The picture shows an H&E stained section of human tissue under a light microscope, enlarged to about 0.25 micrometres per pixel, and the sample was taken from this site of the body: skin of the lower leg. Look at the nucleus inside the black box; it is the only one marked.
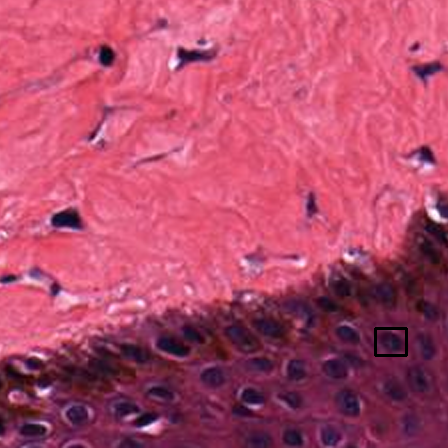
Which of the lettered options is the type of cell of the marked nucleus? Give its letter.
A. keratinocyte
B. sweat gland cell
A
